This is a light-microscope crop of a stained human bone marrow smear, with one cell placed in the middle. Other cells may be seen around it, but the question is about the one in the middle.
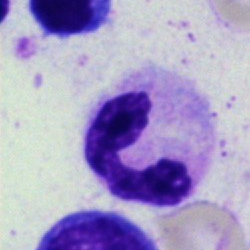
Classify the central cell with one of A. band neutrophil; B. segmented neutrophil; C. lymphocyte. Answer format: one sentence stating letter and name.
Given that the cell in the middle is a band neutrophil, option A is correct.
